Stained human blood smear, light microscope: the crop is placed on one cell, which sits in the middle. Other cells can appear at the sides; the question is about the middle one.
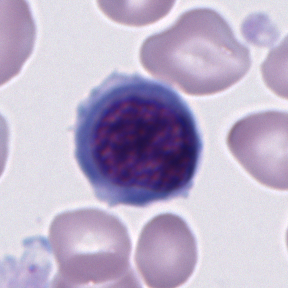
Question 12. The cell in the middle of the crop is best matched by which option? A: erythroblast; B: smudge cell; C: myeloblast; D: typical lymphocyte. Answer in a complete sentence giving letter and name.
Identified correctly by option A, the cell in the middle is an erythroblast.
